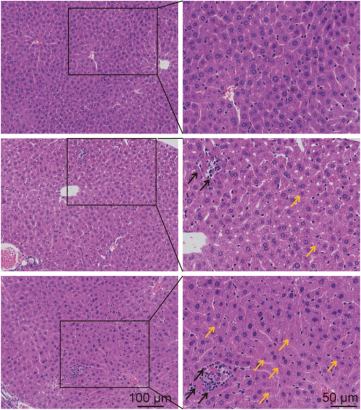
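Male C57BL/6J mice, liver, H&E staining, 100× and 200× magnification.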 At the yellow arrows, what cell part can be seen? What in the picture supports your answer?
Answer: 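The yellow arrows point at hepatocyte nuclei that are smaller and darker than those of neighbouring hepatocytes. On this evidence: shrunken nucleus.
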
